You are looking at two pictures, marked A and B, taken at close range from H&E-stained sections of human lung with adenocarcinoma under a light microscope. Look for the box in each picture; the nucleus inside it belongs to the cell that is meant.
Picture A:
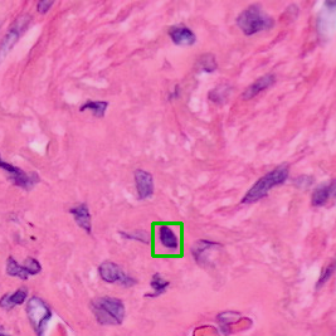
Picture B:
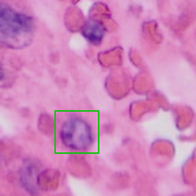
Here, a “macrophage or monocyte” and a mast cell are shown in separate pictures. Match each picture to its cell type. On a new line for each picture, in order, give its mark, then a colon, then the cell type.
A: mast cell
B: macrophage or monocyte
